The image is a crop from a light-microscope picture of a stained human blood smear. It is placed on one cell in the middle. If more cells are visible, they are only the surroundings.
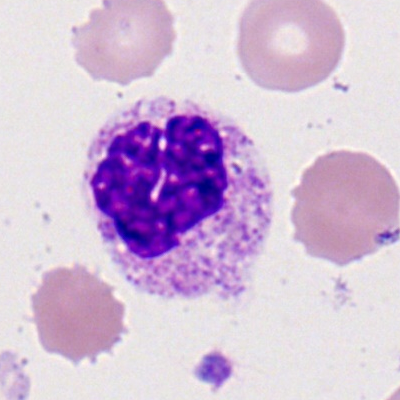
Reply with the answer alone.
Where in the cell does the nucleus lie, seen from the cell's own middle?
upper left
